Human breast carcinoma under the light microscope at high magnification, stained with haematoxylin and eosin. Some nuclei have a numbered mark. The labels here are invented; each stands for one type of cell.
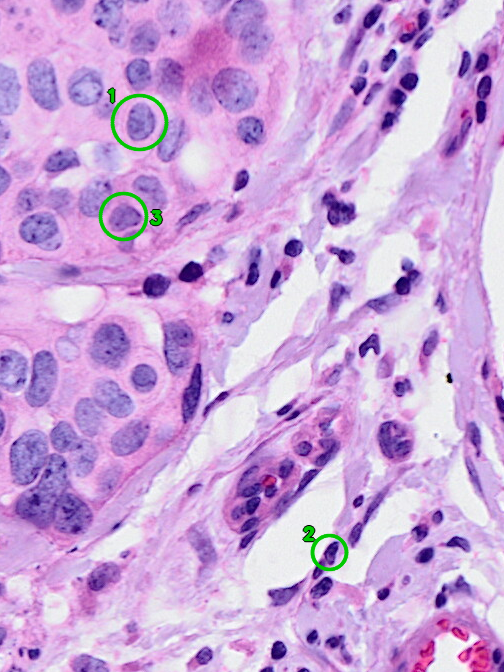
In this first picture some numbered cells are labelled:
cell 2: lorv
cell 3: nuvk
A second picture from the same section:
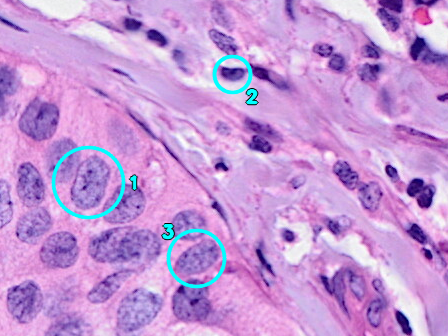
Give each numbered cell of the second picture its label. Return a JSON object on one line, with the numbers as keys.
{"1": "nuvk", "2": "lorv", "3": "nuvk"}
